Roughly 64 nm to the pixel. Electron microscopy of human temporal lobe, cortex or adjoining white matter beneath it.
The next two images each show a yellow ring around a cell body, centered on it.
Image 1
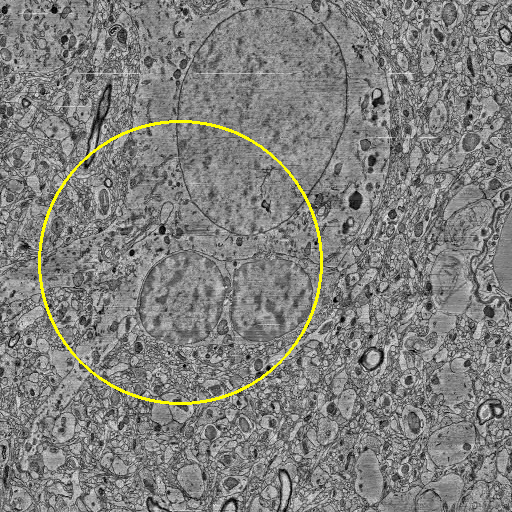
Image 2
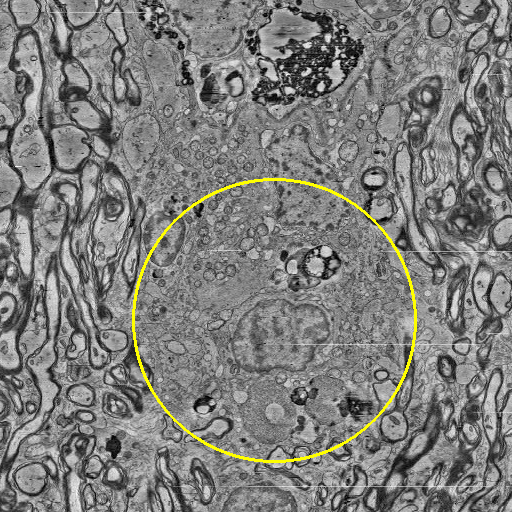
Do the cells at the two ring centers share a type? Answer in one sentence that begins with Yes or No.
Yes, across the two images the cells at the ring centers share one type.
